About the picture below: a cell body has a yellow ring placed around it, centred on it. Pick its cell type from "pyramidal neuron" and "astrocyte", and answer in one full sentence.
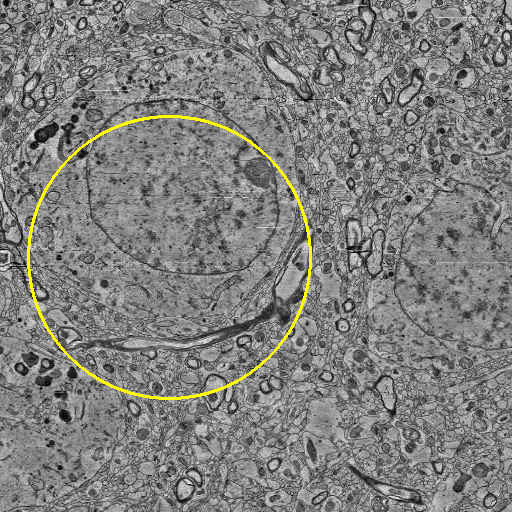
In the picture, a pyramidal neuron is the cell sitting at the centre of the yellow ring.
